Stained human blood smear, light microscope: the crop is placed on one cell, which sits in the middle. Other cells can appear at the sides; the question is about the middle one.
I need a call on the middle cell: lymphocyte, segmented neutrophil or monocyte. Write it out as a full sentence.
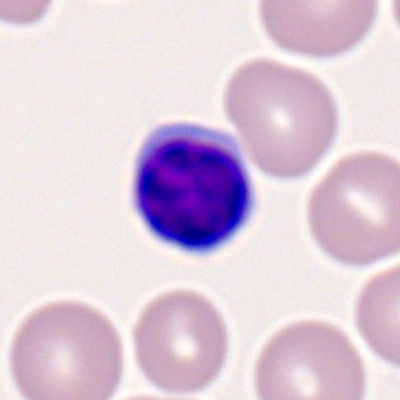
Answering briefly, the cell in the middle is a lymphocyte.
